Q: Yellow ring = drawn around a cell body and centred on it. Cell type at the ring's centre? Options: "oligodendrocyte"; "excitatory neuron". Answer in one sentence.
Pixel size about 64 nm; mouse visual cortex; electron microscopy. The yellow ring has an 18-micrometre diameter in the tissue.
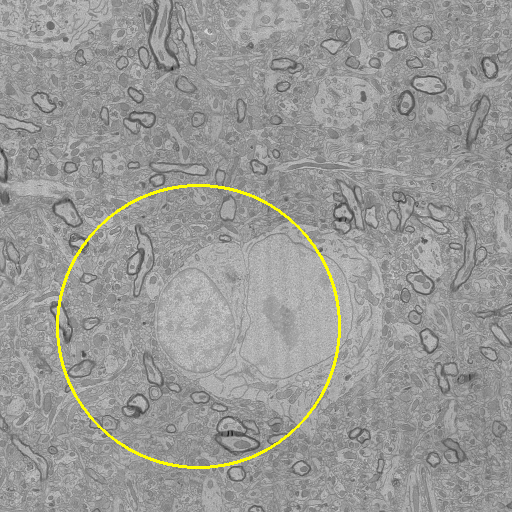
Centred in the ring is an oligodendrocyte.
